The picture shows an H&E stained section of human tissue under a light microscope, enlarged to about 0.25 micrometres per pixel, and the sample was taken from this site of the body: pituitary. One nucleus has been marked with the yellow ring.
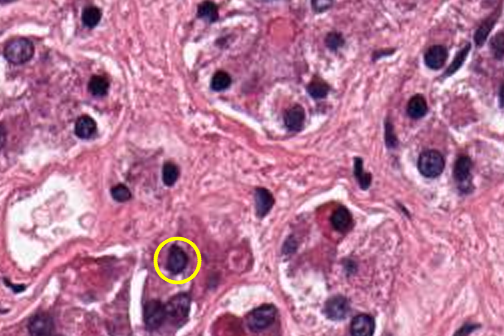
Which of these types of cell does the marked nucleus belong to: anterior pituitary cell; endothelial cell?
anterior pituitary cell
